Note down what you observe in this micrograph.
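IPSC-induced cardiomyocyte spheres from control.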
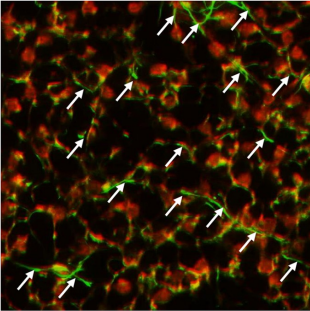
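The cell bodies are filled with red fluorescence, each forming an irregular rounded blob, with dark gaps between groups of cells. Thin green lines run between neighbouring cells, outlining their borders and in places forming longer strands that bridge across several cells. Many of these green borders stand apart from the red and remain plainly green, while others are touched by red and appear yellowish. White arrows mark several of the pure green borders scattered across the field.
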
